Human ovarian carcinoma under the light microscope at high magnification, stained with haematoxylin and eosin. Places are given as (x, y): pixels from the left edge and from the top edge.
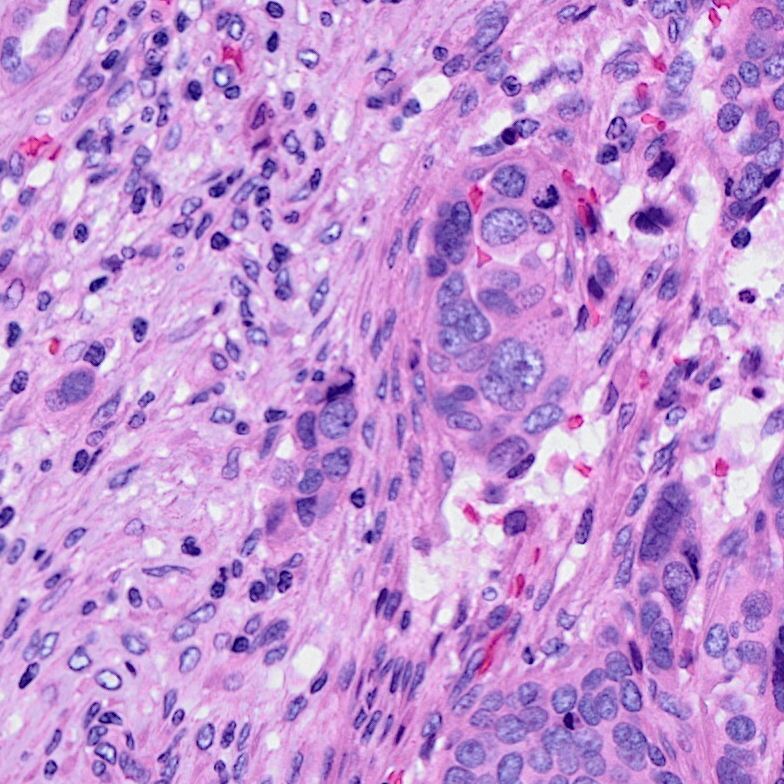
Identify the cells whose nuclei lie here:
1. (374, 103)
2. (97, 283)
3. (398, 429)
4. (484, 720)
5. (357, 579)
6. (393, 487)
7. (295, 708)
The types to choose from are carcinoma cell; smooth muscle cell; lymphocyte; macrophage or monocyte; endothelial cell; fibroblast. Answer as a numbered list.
1. lymphocyte
2. lymphocyte
3. fibroblast
4. carcinoma cell
5. fibroblast
6. fibroblast
7. fibroblast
